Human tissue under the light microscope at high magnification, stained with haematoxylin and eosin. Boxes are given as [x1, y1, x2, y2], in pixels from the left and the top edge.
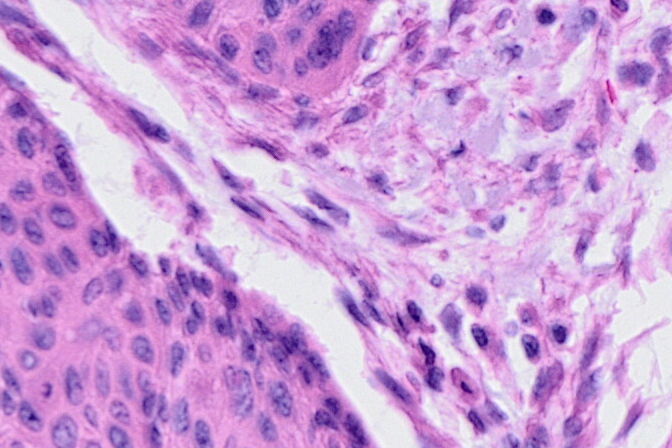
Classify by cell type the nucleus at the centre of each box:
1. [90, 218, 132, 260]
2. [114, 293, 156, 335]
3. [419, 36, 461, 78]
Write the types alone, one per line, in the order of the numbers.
squamous carcinoma cell
squamous carcinoma cell
fibroblast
